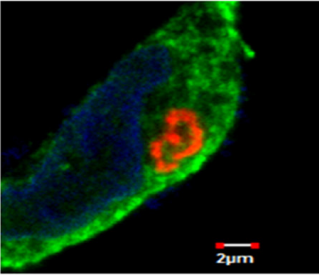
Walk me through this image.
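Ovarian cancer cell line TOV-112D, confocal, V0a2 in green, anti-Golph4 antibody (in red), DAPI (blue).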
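An elongated cultured cell is seen, its large oval nucleus filling much of the body in blue, with green fluorescence spread finely through the cytoplasm and brightest along the cell border. Beside the nucleus lies a compact red structure, a folded ribbon curled into a ring-like loop, sharply set apart from the green; little or no yellow appears where they meet.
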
